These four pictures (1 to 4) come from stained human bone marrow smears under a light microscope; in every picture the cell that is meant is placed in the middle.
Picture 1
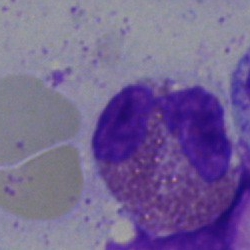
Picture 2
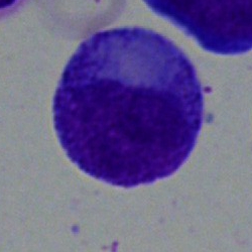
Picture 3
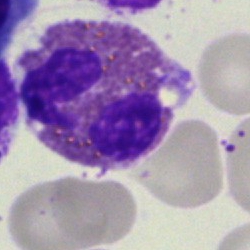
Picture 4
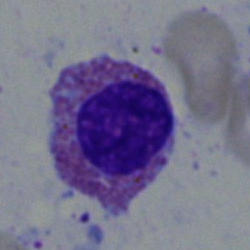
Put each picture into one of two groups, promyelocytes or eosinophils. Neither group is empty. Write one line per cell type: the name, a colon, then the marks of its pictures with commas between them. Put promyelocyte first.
promyelocyte: 2
eosinophil: 1, 3, 4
